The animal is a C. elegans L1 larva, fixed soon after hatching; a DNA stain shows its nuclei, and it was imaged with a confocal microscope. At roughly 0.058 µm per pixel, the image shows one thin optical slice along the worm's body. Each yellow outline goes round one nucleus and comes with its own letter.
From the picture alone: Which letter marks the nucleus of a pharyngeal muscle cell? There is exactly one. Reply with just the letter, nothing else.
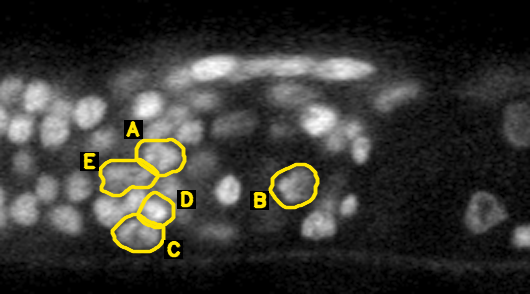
A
